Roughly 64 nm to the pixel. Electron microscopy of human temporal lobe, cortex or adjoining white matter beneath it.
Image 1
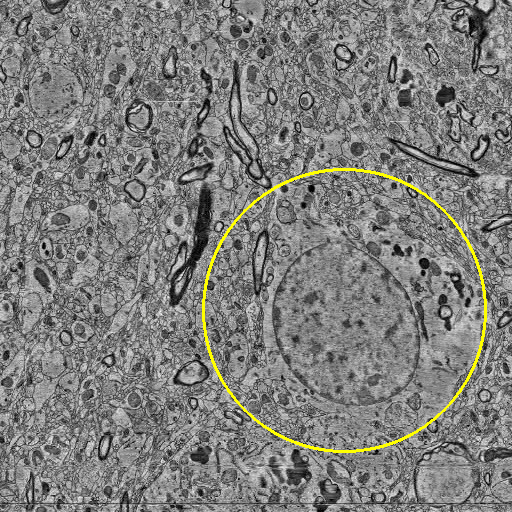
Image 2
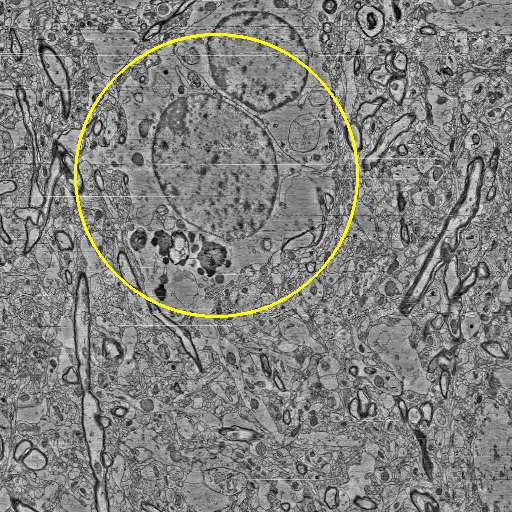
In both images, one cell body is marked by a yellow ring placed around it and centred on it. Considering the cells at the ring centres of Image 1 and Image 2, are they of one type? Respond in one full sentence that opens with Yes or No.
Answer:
Yes, a single type applies to the ring-centred cells of both Image 1 and Image 2.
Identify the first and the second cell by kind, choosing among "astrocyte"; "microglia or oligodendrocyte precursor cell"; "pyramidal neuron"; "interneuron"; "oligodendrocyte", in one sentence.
The cell in the first picture is an astrocyte, and so is the one in the second.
